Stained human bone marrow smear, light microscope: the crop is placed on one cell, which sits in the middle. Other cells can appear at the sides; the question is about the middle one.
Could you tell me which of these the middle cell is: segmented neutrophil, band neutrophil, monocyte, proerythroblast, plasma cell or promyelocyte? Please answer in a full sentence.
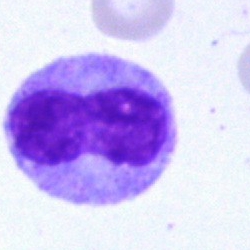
The cell that lies at the centre of the crop is a band neutrophil.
